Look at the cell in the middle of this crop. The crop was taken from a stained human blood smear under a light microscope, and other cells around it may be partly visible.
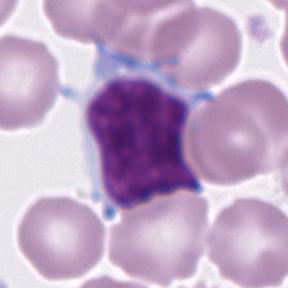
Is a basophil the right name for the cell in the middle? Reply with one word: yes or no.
no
